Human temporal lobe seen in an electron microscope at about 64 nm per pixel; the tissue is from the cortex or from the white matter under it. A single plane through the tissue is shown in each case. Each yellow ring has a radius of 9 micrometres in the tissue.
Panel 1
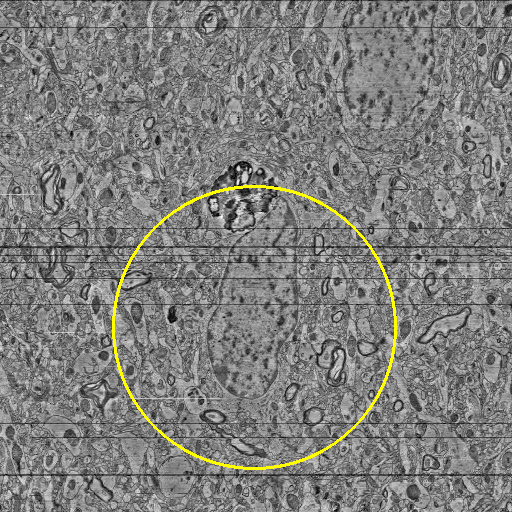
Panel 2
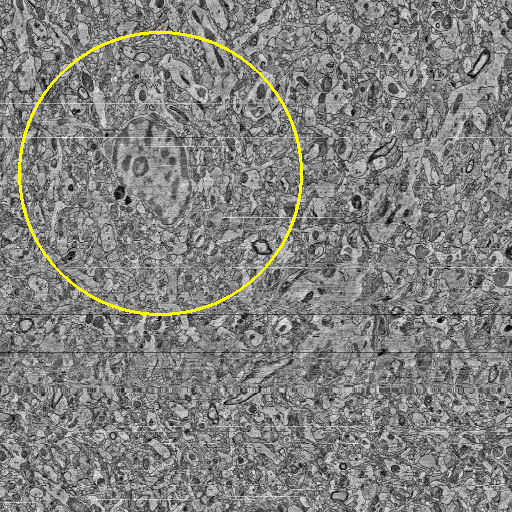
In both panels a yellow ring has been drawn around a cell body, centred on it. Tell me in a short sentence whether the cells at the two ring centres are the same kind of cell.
Yes, they are the same kind of cell.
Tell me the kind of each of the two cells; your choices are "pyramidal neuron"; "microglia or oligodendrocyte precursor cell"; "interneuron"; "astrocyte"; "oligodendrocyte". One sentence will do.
Each of the two rings surrounds a microglial cell or oligodendrocyte precursor cell.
